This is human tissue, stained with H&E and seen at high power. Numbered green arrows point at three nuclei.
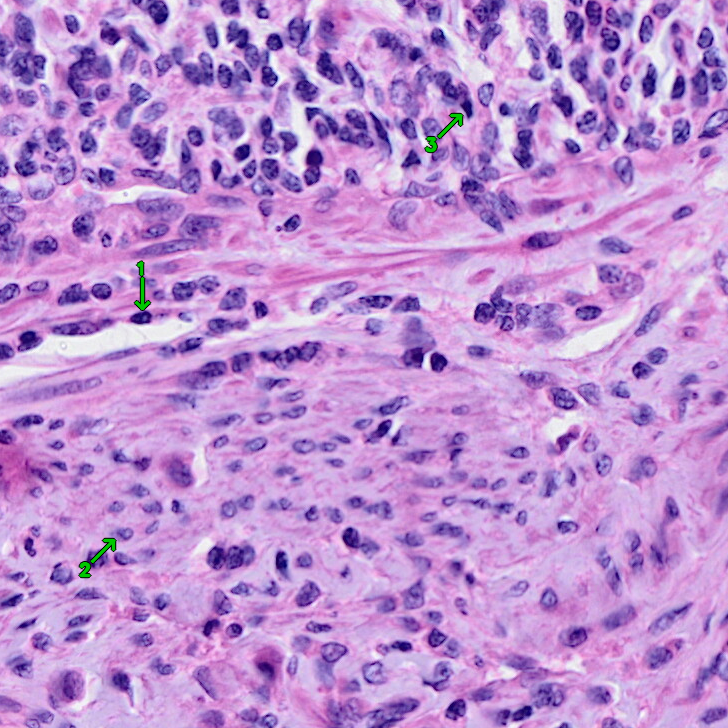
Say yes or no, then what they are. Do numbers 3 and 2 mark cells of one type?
No, cell 3 is a lymphocyte, and cell 2, for its part, is a smooth muscle cell.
